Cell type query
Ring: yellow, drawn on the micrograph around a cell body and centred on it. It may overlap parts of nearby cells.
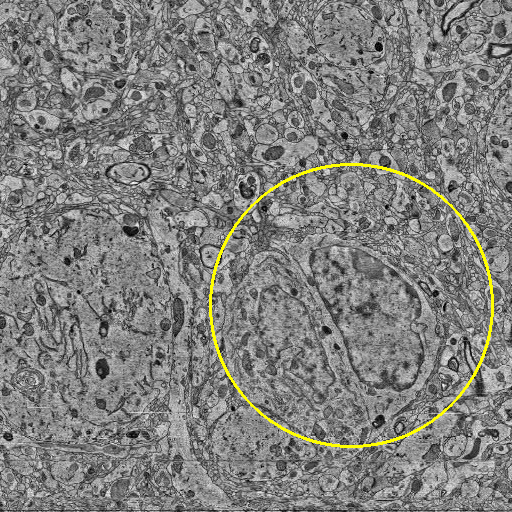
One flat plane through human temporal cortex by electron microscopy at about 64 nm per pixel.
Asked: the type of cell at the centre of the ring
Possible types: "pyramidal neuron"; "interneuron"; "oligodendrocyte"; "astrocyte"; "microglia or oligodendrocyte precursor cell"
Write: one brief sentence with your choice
The ring marks a microglial cell or oligodendrocyte precursor cell.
